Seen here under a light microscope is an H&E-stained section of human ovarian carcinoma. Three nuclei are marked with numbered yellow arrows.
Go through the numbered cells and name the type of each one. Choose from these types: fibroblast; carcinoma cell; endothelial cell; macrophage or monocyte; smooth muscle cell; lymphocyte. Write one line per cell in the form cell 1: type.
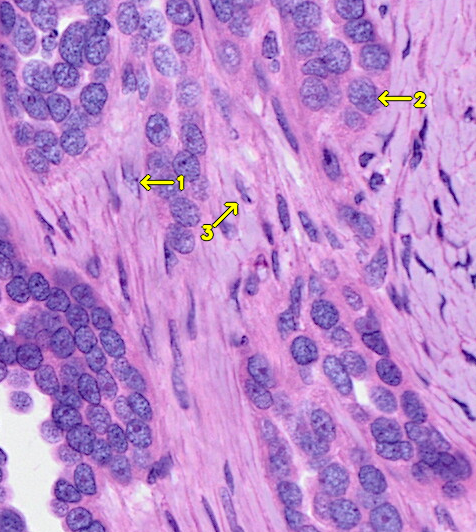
cell 1: fibroblast
cell 2: carcinoma cell
cell 3: fibroblast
